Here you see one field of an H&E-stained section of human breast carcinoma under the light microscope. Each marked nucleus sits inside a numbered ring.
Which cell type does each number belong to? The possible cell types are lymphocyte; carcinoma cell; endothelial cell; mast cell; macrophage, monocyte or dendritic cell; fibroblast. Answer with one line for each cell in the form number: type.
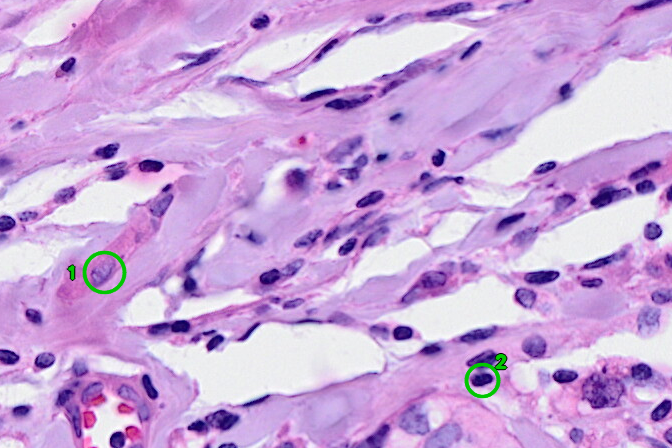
1: endothelial cell
2: lymphocyte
